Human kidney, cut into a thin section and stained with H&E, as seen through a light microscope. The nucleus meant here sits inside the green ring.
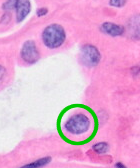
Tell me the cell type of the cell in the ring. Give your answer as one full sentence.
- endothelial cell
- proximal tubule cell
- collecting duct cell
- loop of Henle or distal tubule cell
The cell in the ring appears to be a loop of Henle or distal tubule cell.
